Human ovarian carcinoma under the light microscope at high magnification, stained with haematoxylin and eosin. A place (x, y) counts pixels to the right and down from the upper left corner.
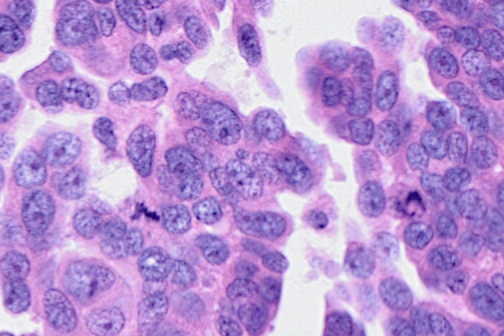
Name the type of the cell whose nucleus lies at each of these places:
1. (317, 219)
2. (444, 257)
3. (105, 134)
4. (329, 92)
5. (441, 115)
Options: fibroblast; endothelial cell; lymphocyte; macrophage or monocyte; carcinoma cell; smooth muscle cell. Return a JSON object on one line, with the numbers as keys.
{"1": "macrophage or monocyte", "2": "carcinoma cell", "3": "macrophage or monocyte", "4": "carcinoma cell", "5": "carcinoma cell"}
